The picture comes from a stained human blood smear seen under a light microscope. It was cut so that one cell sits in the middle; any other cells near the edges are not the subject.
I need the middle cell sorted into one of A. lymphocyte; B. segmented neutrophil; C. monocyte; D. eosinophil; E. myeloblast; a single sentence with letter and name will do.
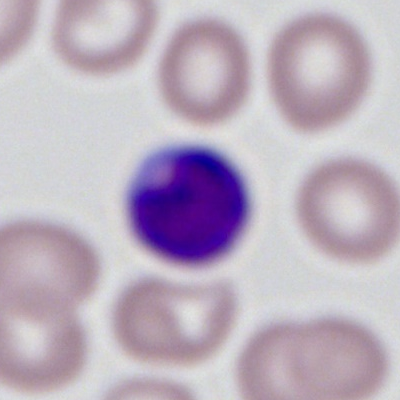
Option A is the correct selection, for the cell at the centre is a lymphocyte.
